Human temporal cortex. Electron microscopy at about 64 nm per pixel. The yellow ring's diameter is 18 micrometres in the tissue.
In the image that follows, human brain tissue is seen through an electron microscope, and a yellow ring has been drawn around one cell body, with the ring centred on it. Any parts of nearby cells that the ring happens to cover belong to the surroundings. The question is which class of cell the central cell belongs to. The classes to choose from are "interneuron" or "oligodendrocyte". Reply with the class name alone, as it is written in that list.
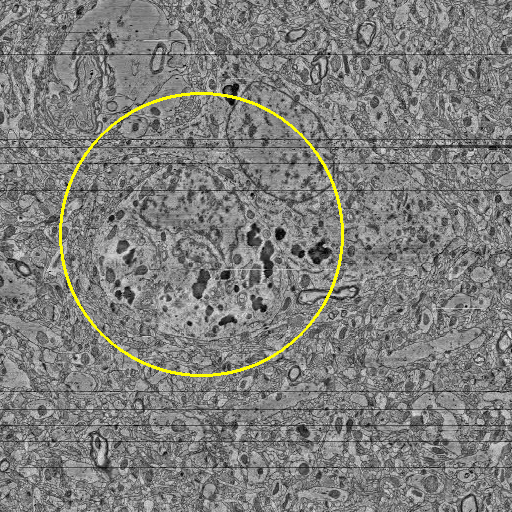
interneuron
